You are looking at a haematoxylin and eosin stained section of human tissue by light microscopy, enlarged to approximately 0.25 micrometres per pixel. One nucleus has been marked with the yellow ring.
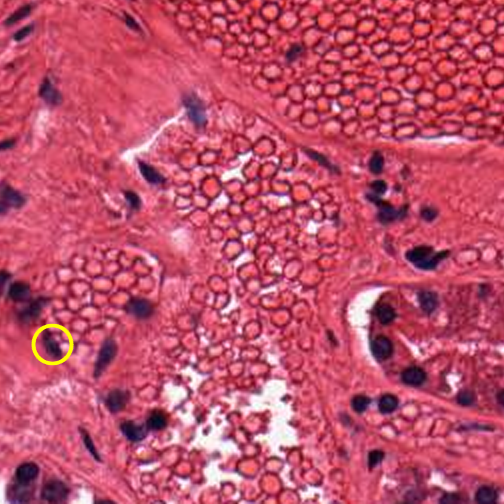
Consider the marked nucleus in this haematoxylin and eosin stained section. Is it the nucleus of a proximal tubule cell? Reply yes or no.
no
